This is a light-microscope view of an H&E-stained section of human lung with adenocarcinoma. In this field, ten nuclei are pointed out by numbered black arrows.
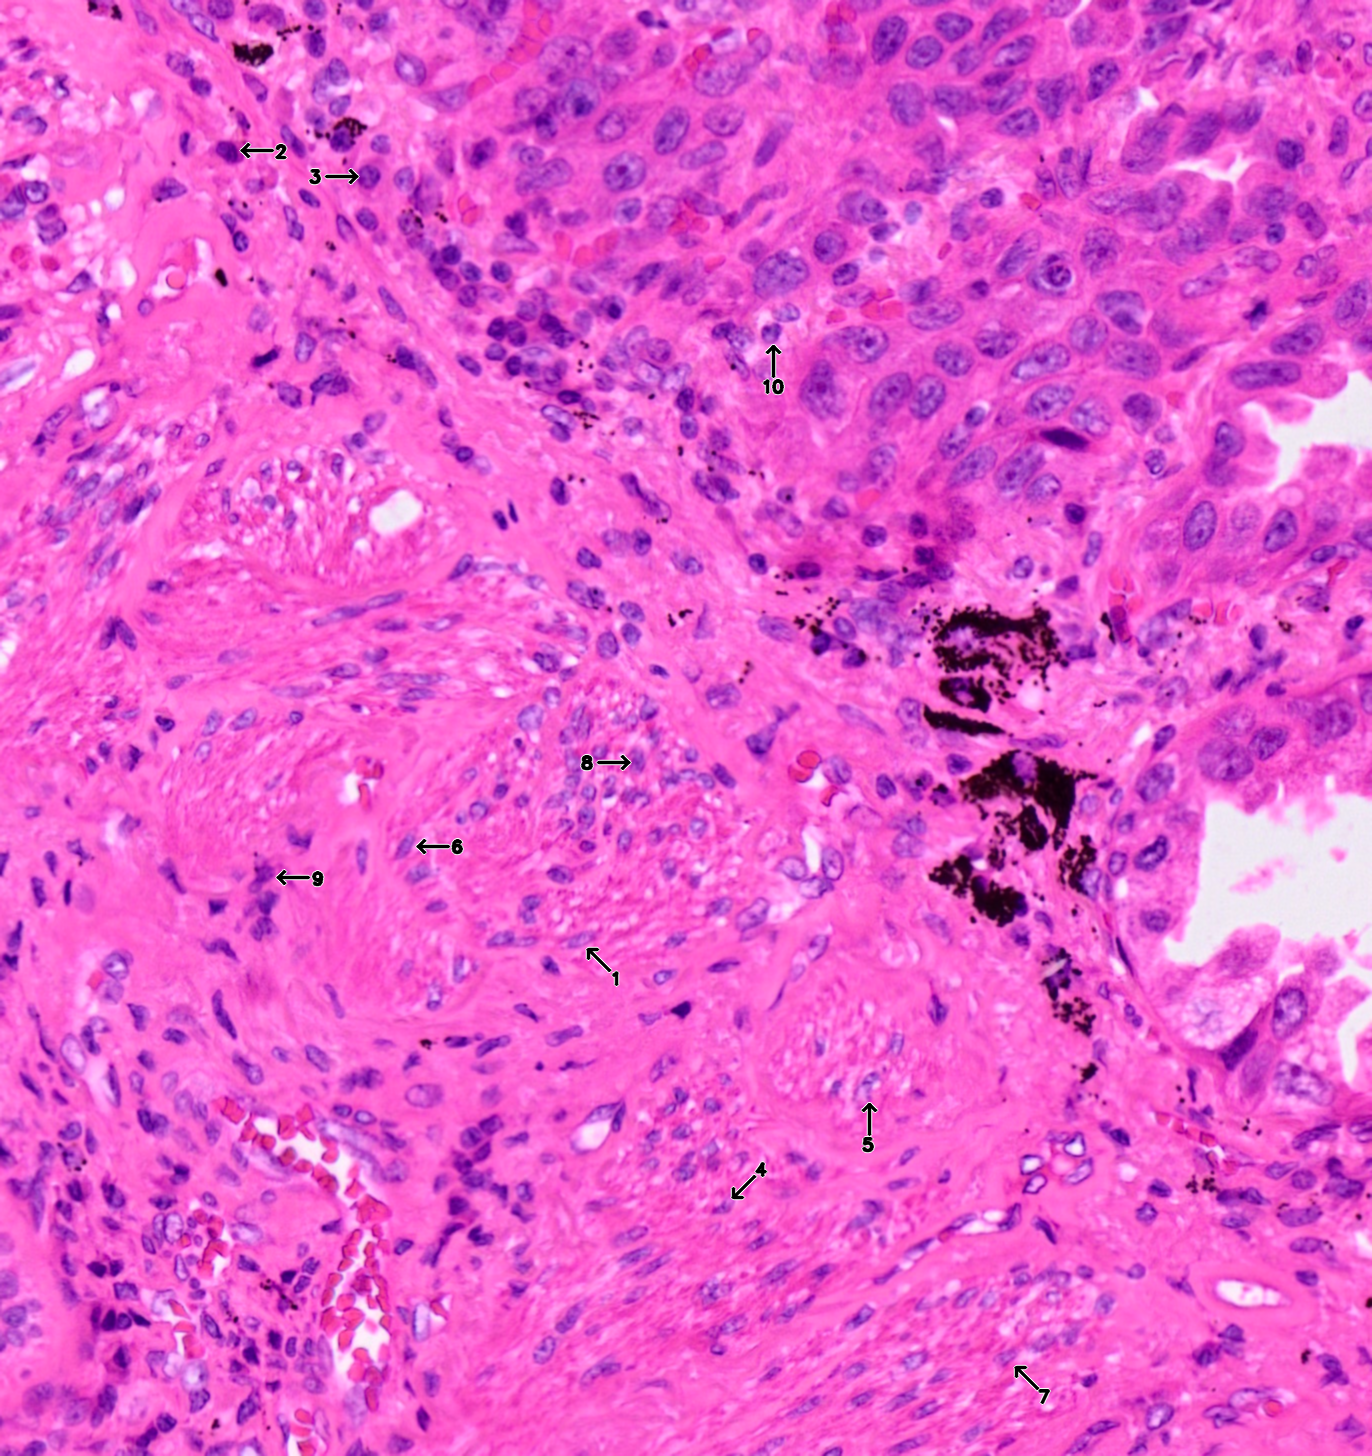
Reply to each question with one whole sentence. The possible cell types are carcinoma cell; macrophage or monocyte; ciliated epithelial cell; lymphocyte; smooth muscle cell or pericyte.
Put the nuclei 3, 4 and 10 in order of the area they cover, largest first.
Going from the biggest nucleus down to the smallest gives 3, 10, 4.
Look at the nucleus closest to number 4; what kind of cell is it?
Number 4 lies closest to the nucleus of a smooth muscle cell or pericyte.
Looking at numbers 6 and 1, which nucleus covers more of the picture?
Number 1 is larger; its area is about 1.5 times that of number 6.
